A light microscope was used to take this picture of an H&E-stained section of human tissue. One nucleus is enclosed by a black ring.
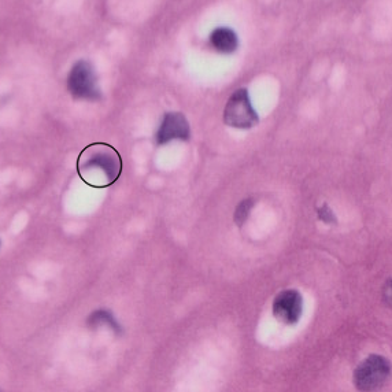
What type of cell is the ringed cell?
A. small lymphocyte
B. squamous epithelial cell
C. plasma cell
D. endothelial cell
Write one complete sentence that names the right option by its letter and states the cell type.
In keeping with option B, the ringed cell is a squamous epithelial cell.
